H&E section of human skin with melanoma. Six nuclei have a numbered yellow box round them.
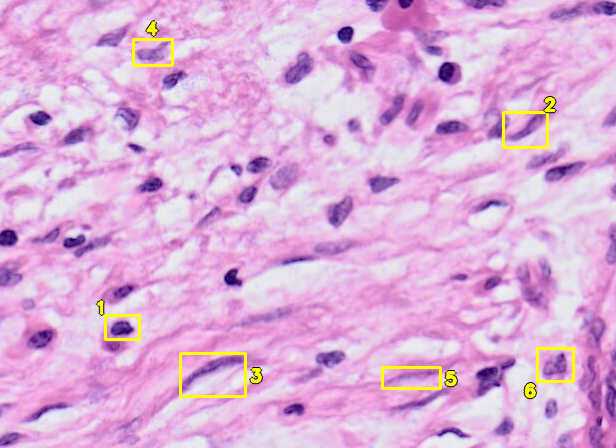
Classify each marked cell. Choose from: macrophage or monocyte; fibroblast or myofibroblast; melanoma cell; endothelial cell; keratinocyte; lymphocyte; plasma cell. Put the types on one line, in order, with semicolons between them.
lymphocyte; fibroblast or myofibroblast; fibroblast or myofibroblast; fibroblast or myofibroblast; fibroblast or myofibroblast; macrophage or monocyte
